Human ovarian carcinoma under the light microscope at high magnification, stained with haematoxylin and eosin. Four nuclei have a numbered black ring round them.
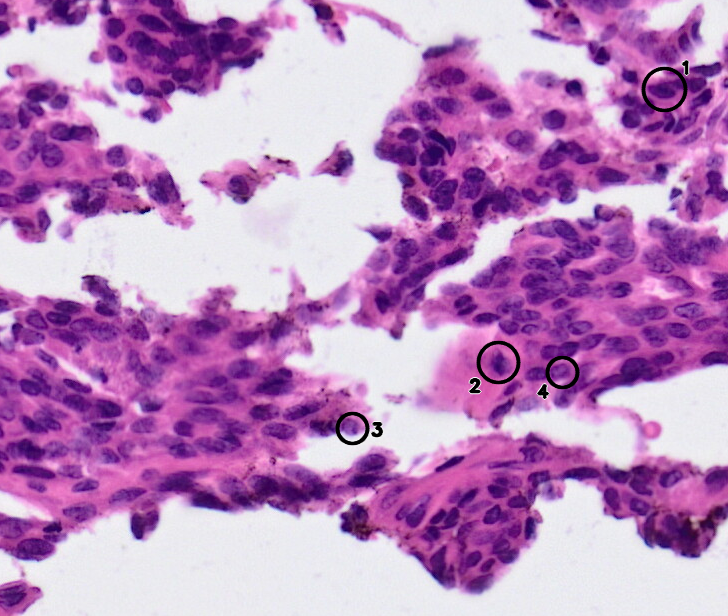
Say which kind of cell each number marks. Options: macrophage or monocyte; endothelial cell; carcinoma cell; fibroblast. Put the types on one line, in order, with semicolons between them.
carcinoma cell; endothelial cell; carcinoma cell; carcinoma cell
